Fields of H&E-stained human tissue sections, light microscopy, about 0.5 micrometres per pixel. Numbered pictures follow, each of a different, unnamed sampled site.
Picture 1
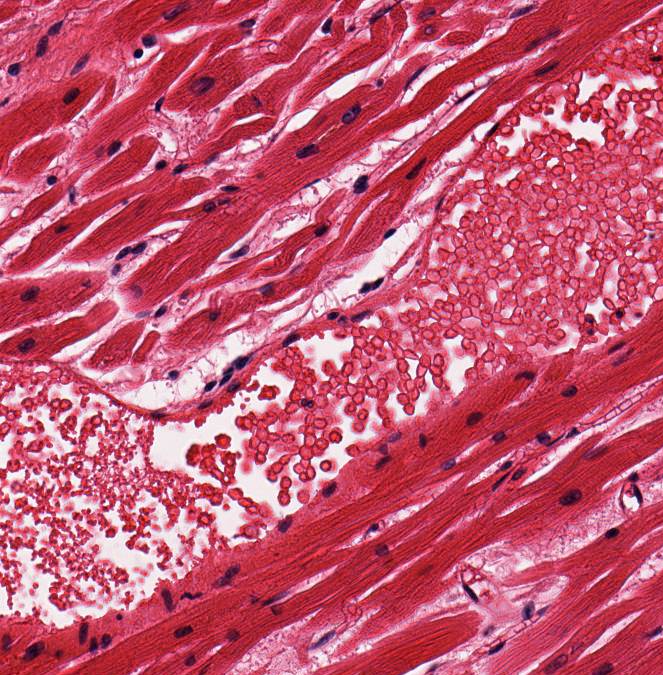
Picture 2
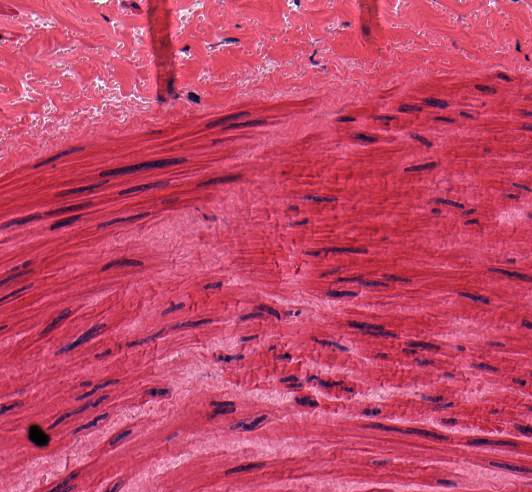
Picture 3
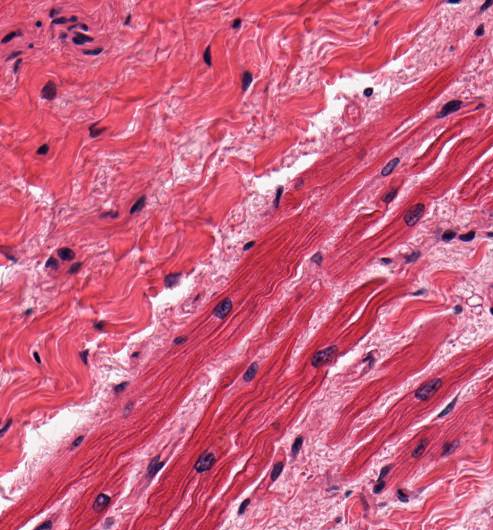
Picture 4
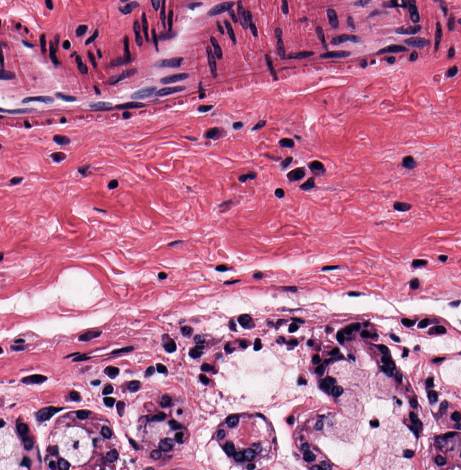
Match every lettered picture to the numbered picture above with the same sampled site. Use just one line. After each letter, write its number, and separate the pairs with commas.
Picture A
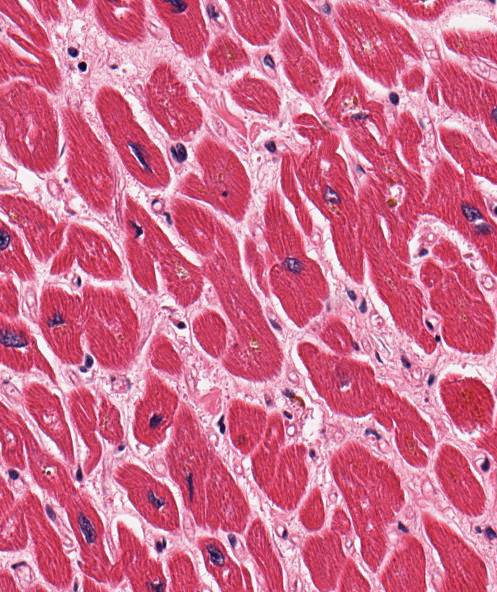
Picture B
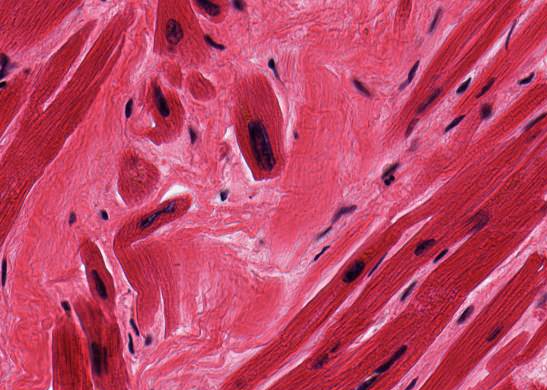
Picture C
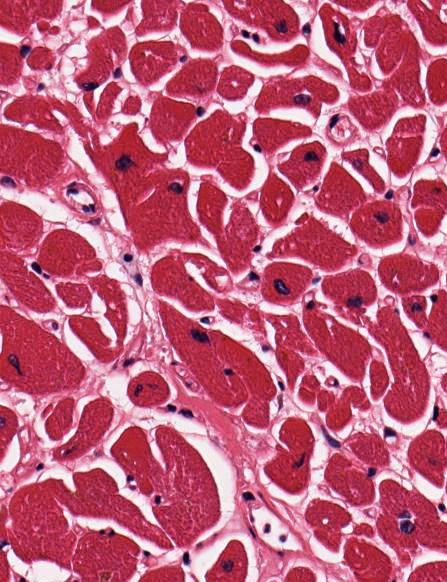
A 1, B 1, C 1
